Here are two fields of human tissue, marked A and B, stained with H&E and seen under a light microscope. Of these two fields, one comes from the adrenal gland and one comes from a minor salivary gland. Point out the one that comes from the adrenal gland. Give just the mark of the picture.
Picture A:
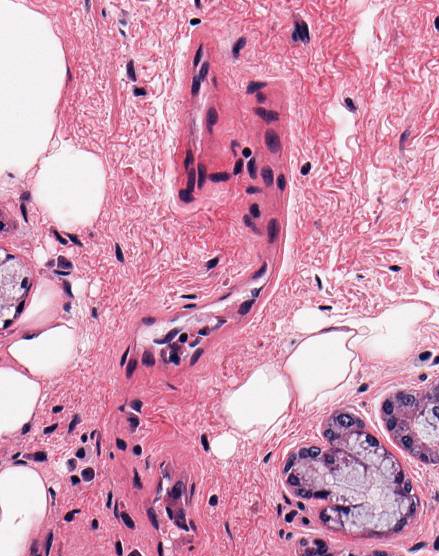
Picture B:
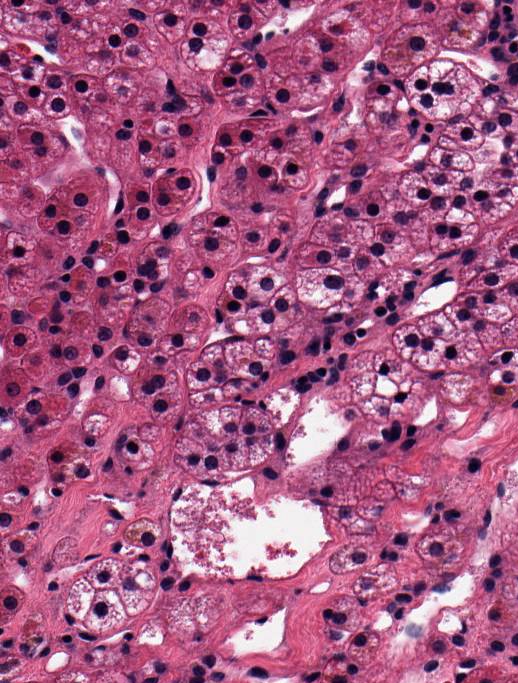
B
